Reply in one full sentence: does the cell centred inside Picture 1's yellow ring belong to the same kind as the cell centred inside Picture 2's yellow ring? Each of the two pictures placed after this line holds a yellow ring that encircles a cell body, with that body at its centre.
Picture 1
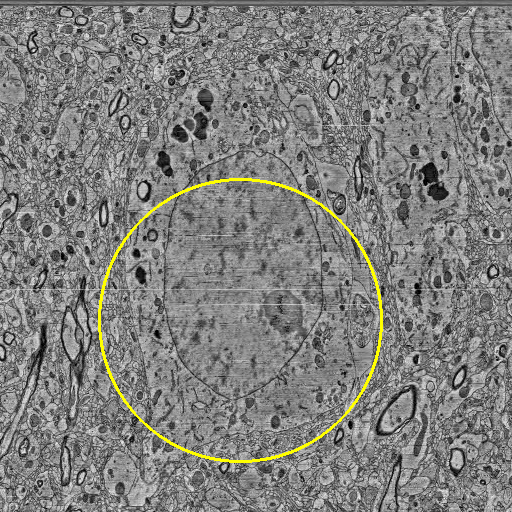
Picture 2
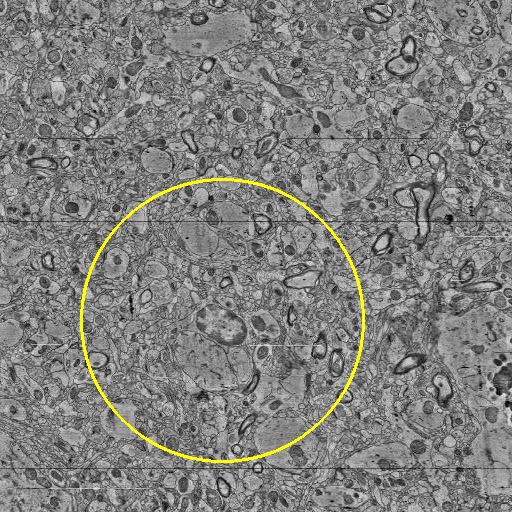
No, the ring-centred cells in Picture 1 and Picture 2 are of two separate kinds.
